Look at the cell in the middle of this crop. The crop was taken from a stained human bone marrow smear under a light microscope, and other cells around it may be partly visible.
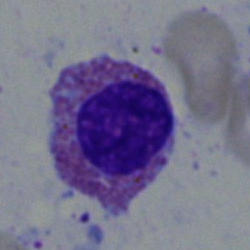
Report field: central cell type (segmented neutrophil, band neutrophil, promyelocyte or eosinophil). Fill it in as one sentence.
Located at the centre of the crop is an eosinophil.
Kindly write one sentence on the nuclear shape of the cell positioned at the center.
See how the nucleus sits as one compact round, oval or kidney-shaped mass.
